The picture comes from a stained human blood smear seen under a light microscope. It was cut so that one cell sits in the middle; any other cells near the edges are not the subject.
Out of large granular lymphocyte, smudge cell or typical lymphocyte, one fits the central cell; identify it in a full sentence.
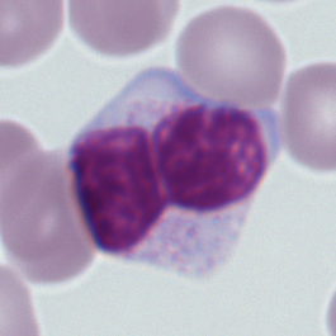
At the crop's centre, the cell is a large granular lymphocyte.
